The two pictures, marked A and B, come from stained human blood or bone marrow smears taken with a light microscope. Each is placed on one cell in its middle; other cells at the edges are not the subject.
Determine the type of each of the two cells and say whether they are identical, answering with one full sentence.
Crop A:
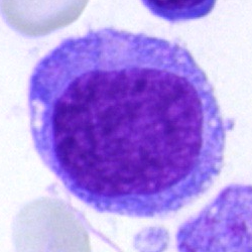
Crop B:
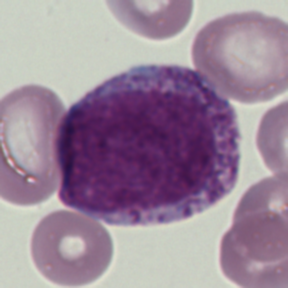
No, for crop A the cell is a blast, and for crop B it is a promyelocyte.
